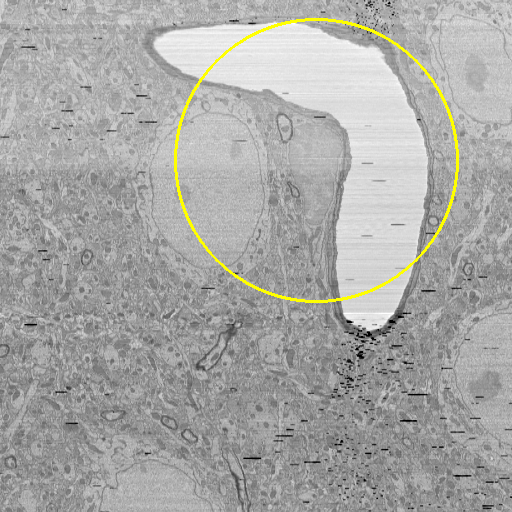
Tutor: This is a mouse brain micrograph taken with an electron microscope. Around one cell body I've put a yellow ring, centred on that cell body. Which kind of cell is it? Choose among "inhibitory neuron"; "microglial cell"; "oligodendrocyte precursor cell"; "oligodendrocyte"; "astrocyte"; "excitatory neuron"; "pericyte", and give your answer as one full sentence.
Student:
Going by your list, the cell centred in the yellow ring is a microglial cell.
